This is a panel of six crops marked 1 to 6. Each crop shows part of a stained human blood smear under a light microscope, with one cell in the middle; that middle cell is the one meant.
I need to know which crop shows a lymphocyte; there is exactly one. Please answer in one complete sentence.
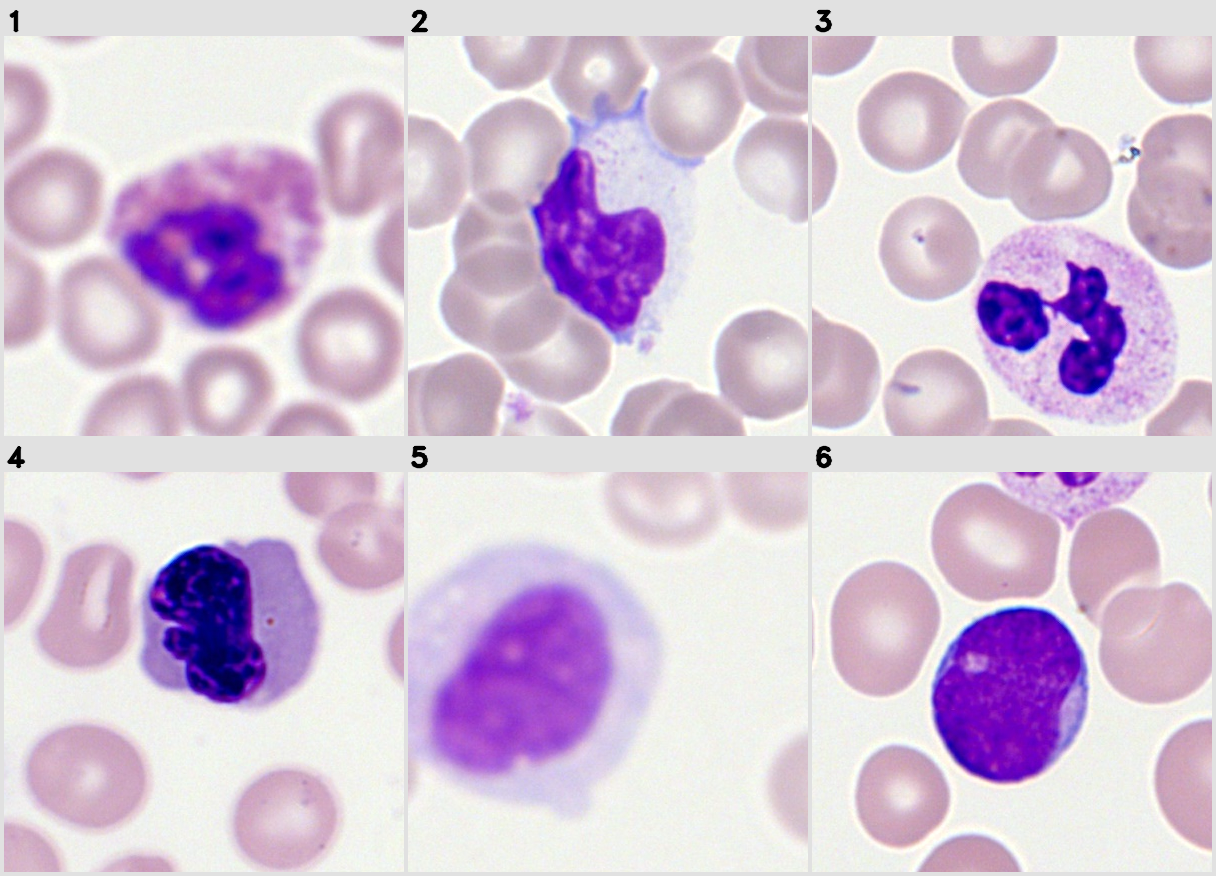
Crop 2 is identified as the crop showing a lymphocyte.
